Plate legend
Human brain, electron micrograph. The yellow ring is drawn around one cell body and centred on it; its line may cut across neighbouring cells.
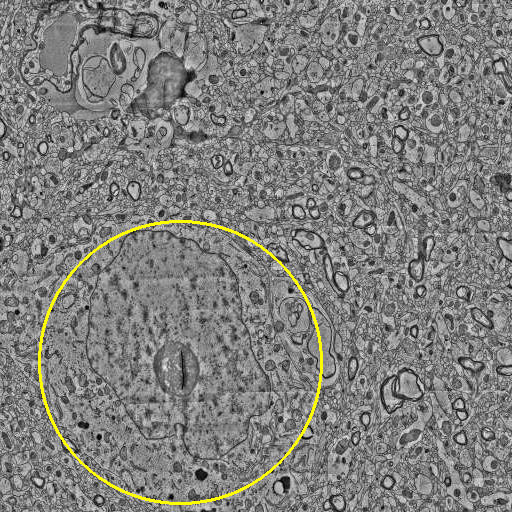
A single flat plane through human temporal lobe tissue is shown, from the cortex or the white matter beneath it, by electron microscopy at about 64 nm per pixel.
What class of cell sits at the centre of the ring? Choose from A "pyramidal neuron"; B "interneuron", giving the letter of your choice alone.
A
